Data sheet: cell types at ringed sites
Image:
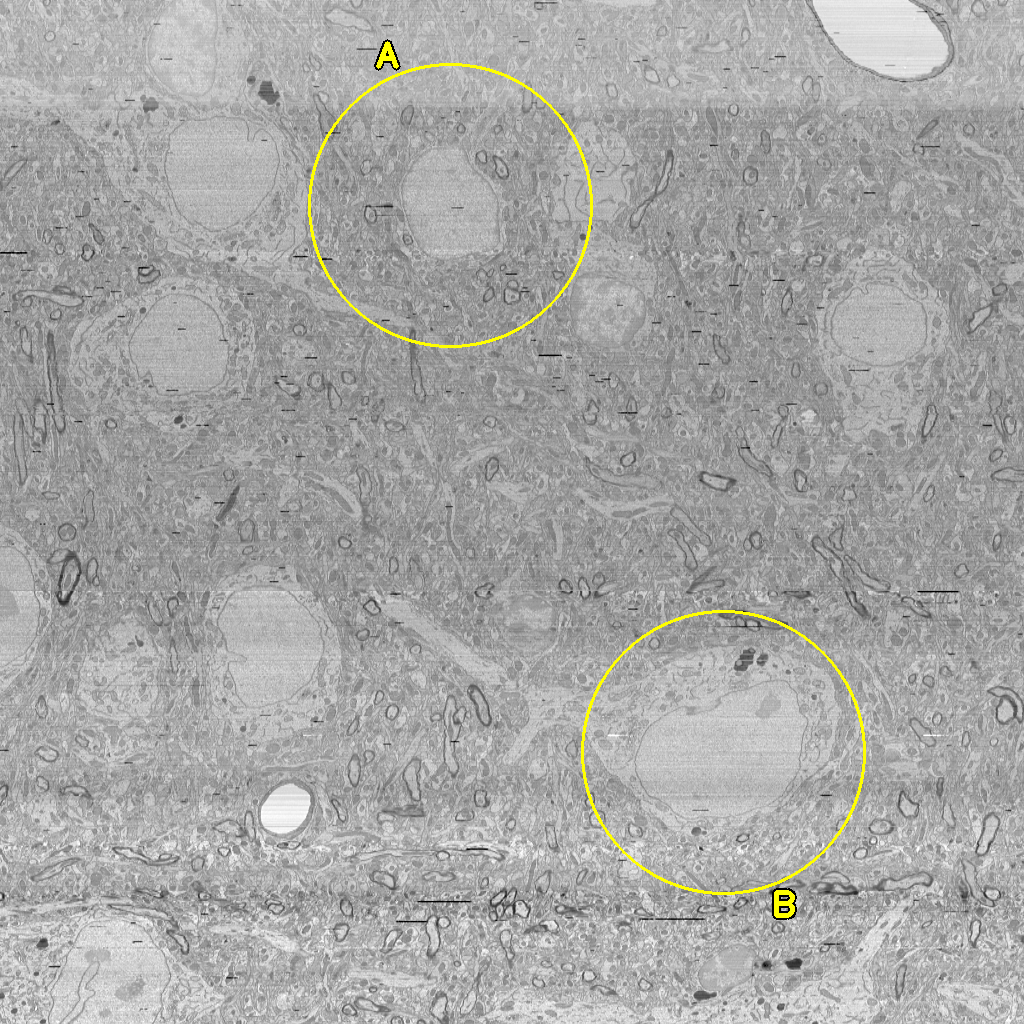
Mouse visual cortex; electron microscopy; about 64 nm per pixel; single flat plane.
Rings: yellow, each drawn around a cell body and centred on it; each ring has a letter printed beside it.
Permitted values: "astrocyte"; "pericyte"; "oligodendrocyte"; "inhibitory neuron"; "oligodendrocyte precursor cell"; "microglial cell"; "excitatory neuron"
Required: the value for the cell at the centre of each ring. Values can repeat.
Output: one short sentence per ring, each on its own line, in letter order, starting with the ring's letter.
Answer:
Ring A has an astrocyte at its centre.
Ring B has an excitatory neuron at its centre.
